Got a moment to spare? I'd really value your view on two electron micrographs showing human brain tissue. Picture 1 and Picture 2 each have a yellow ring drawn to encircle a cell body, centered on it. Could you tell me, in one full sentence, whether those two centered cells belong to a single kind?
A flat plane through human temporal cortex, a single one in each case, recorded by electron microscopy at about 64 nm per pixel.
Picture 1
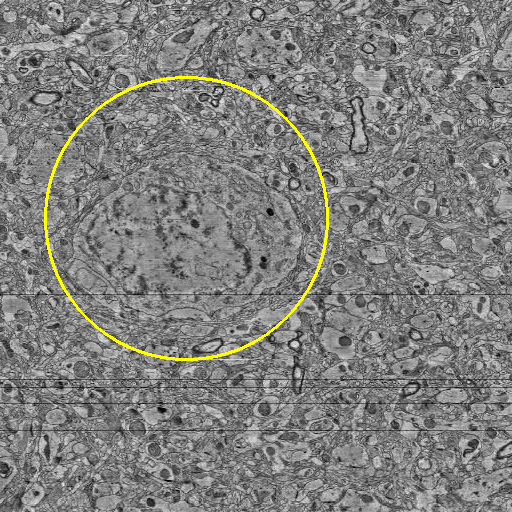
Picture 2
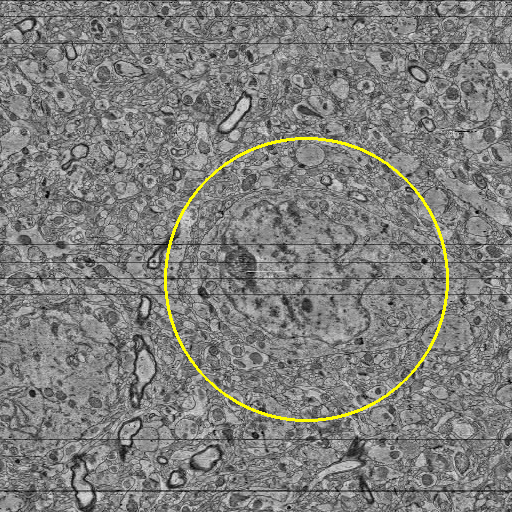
Yes, the two centered cells in Picture 1 and Picture 2 are of a single kind.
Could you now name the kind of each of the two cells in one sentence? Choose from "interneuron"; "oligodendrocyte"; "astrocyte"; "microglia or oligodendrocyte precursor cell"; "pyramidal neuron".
Both pictures show an interneuron at the centre of the ring.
